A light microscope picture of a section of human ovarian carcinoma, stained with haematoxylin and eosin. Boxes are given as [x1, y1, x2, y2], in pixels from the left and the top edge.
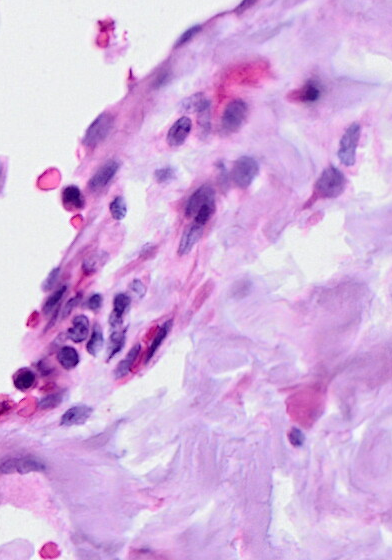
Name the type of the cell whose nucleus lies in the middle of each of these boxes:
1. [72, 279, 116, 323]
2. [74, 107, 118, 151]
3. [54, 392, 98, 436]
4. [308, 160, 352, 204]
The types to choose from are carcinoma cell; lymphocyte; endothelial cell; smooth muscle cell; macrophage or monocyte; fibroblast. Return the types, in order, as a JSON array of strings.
["lymphocyte", "endothelial cell", "fibroblast", "fibroblast"]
